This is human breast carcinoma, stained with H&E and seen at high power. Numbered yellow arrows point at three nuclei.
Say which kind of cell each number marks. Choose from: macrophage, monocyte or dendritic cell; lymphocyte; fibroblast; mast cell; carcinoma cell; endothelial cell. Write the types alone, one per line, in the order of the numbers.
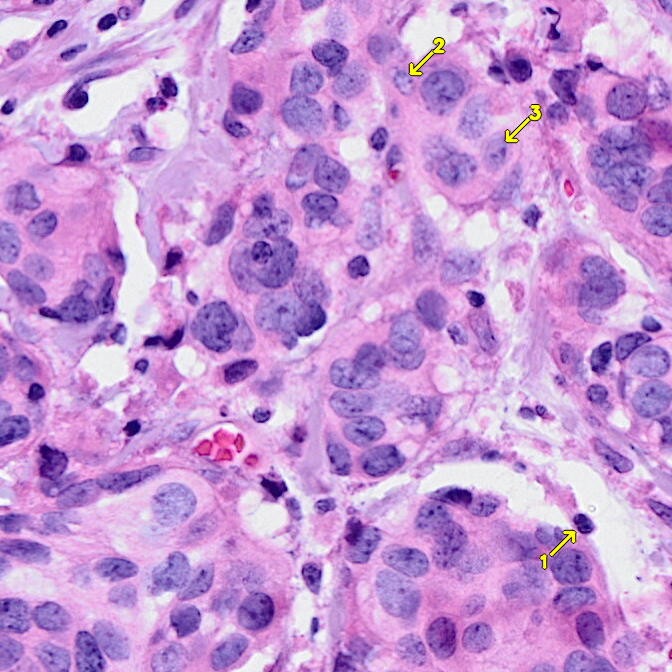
lymphocyte
carcinoma cell
carcinoma cell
